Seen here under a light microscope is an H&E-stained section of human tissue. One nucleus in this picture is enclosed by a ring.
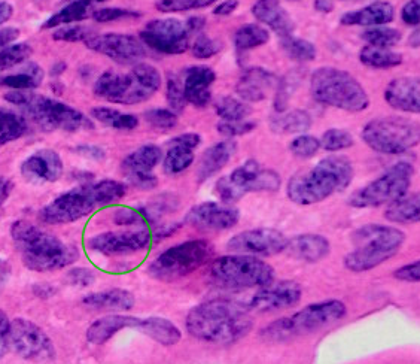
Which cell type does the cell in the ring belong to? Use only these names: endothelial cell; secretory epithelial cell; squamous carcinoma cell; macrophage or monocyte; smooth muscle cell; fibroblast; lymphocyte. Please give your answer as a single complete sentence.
It is as a squamous carcinoma cell that the cell in the ring is recorded.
